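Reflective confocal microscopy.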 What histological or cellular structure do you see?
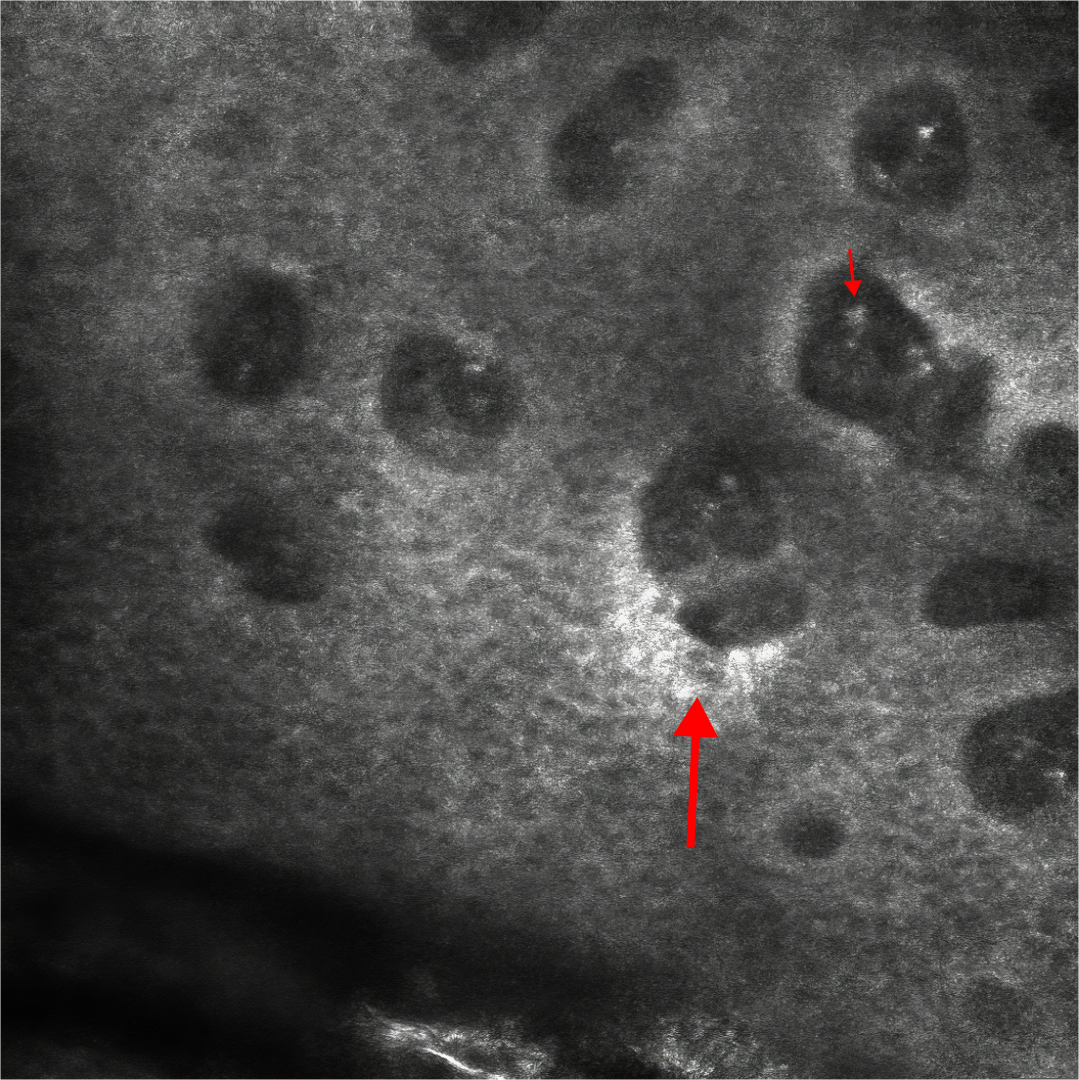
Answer: Dermal papillae.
